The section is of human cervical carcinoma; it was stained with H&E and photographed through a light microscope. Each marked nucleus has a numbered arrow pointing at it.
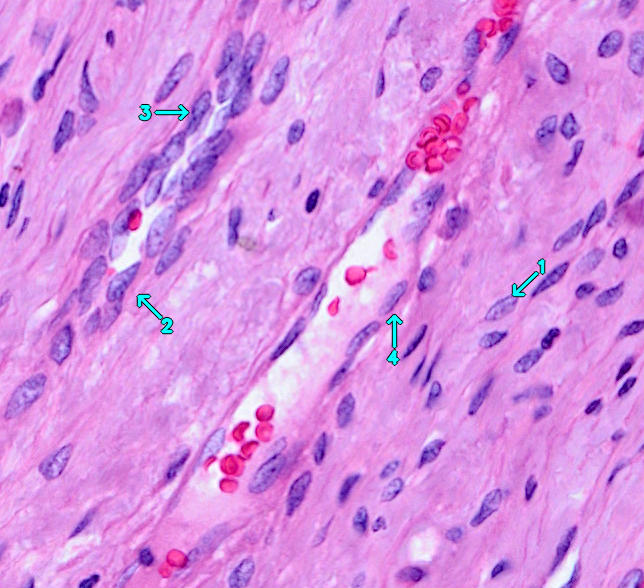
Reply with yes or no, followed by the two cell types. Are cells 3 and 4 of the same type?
Yes, both are endothelial cells.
